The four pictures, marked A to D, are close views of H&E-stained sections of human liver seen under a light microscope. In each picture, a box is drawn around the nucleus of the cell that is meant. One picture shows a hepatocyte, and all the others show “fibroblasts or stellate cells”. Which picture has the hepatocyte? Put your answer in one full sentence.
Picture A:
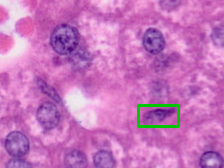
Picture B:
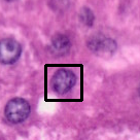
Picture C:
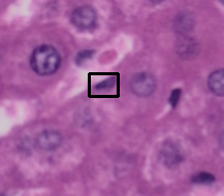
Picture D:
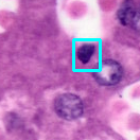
The hepatocyte is the one in picture B.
